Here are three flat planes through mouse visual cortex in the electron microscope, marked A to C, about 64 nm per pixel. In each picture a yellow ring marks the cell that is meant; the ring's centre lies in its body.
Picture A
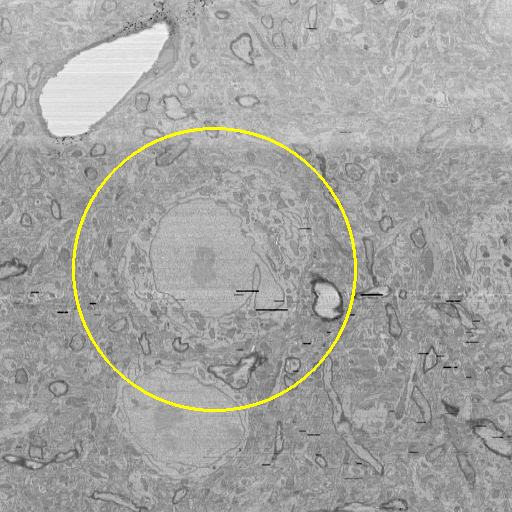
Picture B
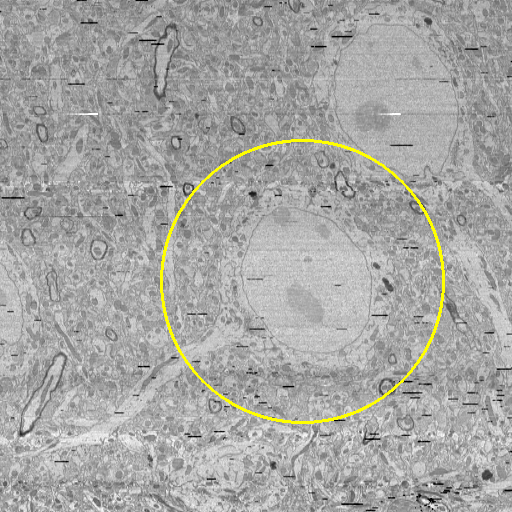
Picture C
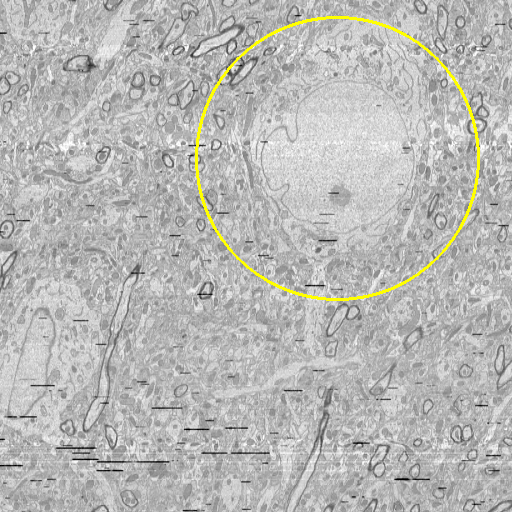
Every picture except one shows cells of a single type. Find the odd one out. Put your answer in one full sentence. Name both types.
Unlike the rest, which show excitatory neurons, picture A shows an inhibitory neuron.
